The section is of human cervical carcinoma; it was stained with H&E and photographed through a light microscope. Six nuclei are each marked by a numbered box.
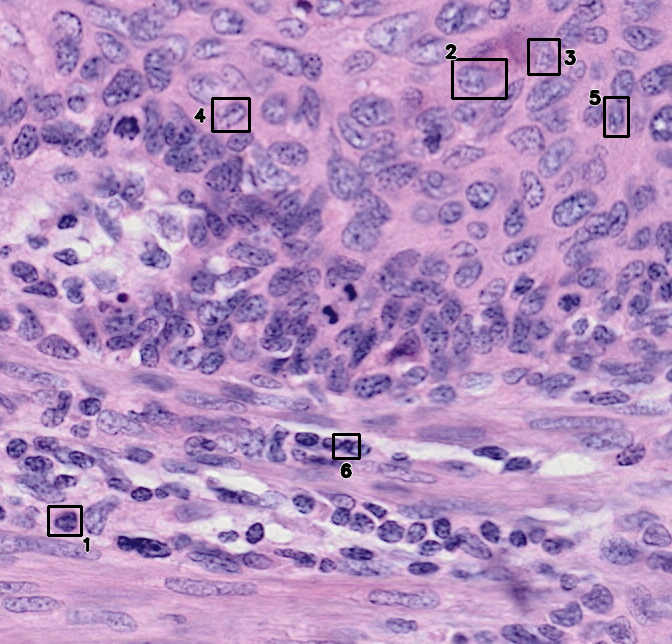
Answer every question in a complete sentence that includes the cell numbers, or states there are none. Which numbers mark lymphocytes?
Cells 1 and 6 share one type; they are lymphocytes.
